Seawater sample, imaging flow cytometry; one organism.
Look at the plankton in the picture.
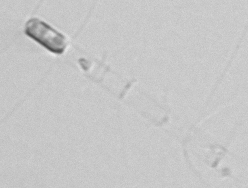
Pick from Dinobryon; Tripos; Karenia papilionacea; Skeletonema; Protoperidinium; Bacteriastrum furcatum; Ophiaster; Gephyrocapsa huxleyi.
Bacteriastrum furcatum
